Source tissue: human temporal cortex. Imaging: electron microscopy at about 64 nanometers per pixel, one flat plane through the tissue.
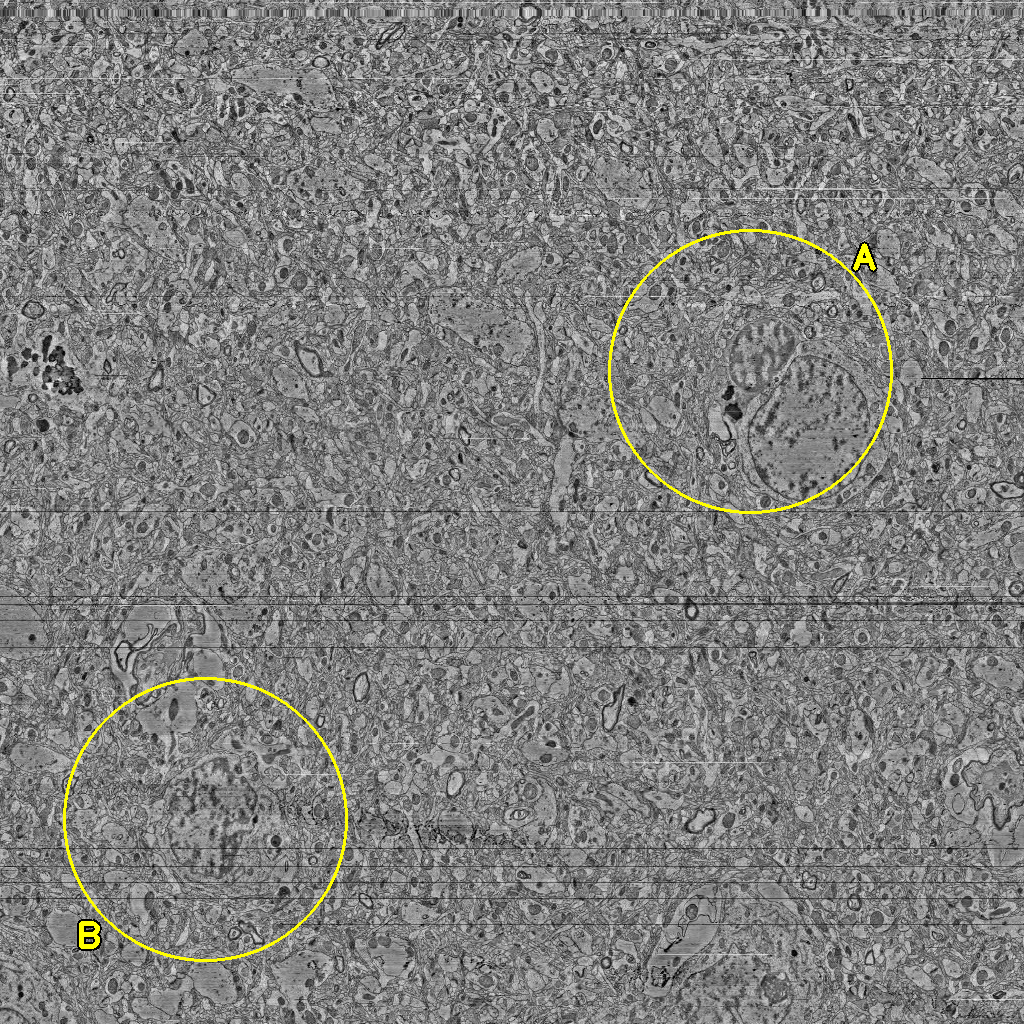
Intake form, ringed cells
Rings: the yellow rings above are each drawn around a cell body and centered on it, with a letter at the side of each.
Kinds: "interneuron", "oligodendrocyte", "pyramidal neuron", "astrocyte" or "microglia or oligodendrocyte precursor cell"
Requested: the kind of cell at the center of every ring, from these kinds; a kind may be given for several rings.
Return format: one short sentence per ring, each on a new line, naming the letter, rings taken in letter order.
In the center of ring A there is an oligodendrocyte.
In the center of ring B there is an interneuron.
